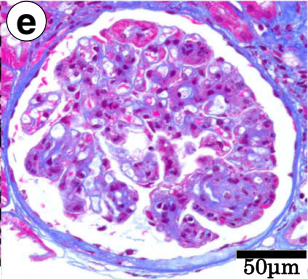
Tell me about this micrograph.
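This is a glomerulus in Masson's trichrome stain showing endocapillary hypercellularity with a lobular pattern. The tuft is split into bulky lobules packed with dark nuclei and purple-red cytoplasm. Blue-stained fibrous tissue surrounds the Bowman's capsule, and a wide clear Bowman's space lies between the capsule and the tuft.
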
